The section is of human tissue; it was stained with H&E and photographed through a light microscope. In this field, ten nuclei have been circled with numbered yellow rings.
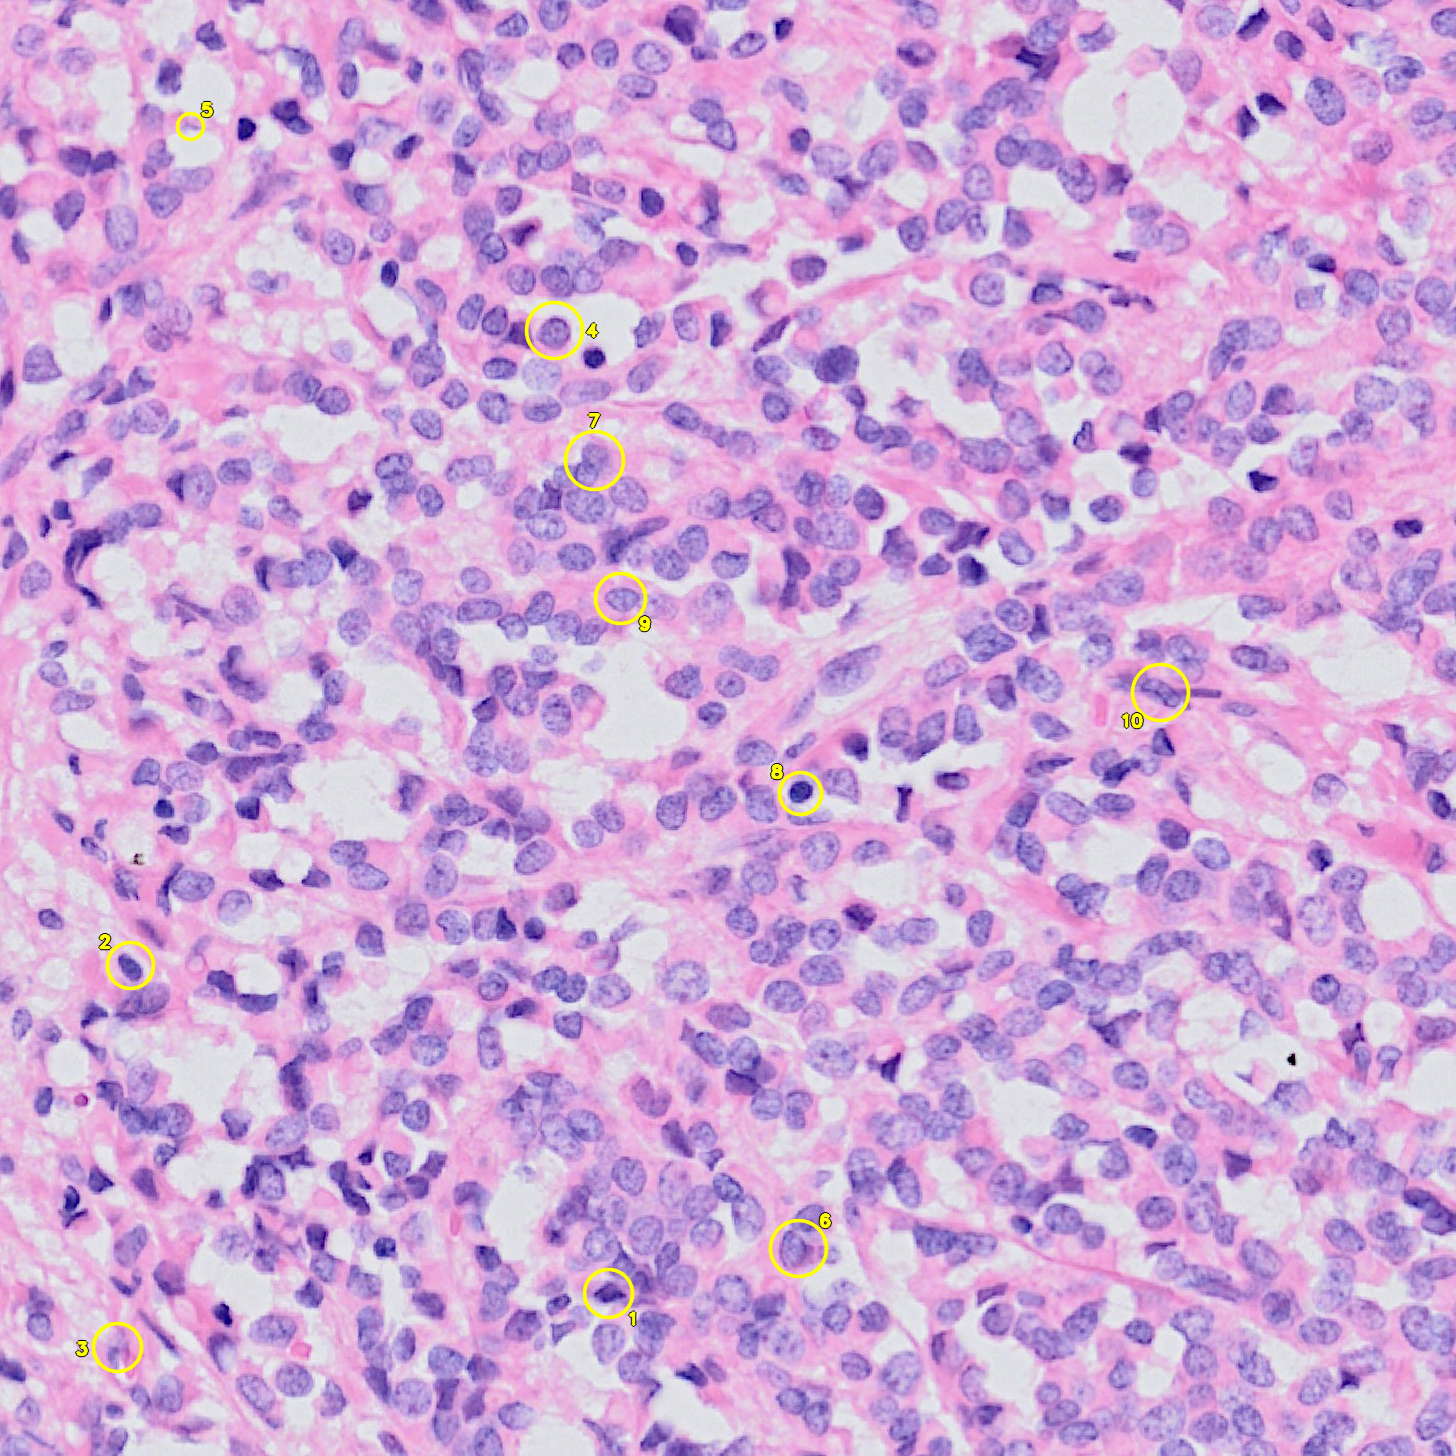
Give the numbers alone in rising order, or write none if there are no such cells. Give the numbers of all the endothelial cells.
3, 10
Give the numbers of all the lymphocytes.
2, 8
